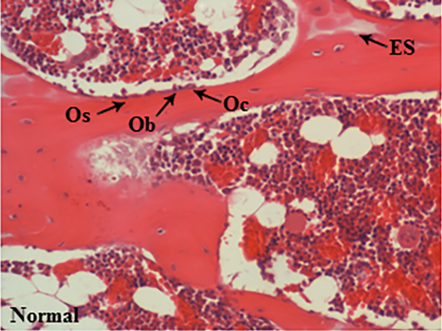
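Trabecular bone with bone marrow, stained pink and purple. Broad, branching struts of bone matrix stain homogeneously pink-red, and scattered small cells with dark nuclei lie within lacunae in the matrix. Along the bone surfaces sit thin layers of lining cells, some flattened, adjacent to the marrow. The spaces between the struts are filled with densely packed marrow cells bearing round dark-purple nuclei, mixed with clusters of bright red blood cells and numerous round, empty clear vacuoles of fat cells. The bone surfaces appear mostly smooth.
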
